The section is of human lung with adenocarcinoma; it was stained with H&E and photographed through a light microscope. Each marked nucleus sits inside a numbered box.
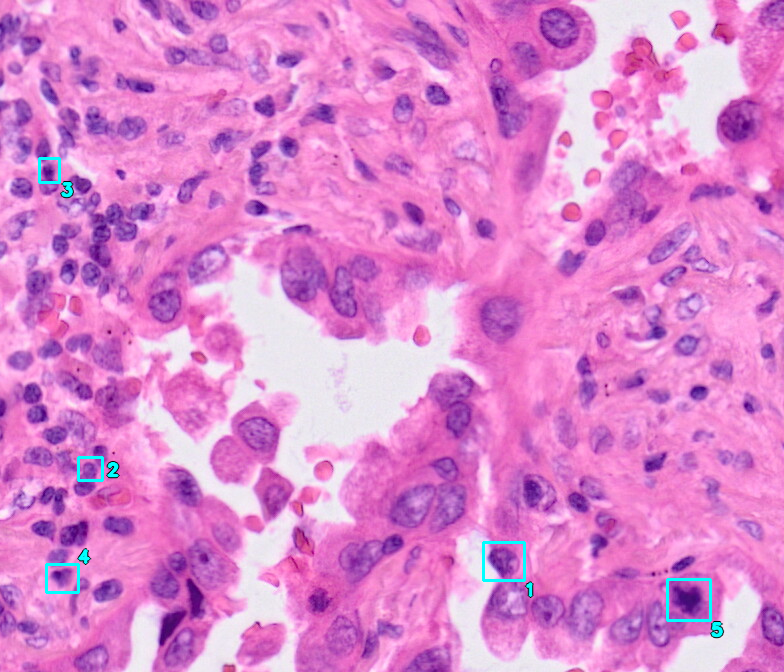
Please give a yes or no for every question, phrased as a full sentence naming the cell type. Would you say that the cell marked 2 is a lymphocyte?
Yes, in this section the cell numbered 2 is a lymphocyte.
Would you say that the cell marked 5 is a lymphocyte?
No, cell 5 is not a lymphocyte; it is a carcinoma cell.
